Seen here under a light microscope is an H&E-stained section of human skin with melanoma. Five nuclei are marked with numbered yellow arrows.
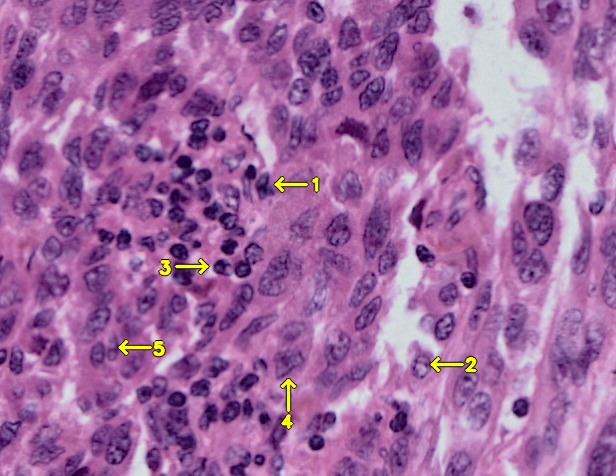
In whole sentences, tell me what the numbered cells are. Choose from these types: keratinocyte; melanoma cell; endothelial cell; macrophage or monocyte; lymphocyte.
Cells 1 and 3 are lymphocytes. Cells 2, 4 and 5 are melanoma cells.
